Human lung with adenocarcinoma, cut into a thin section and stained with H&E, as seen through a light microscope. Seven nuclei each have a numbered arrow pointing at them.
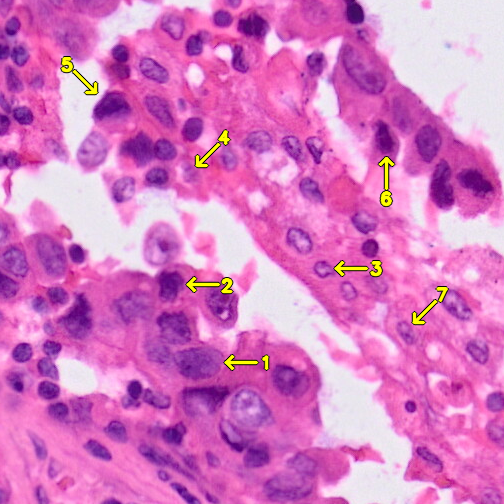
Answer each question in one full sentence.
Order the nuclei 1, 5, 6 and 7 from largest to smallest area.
Going from the biggest nucleus down to the smallest gives 1, 5, 6, 7.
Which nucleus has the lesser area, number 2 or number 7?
Nucleus 7 is the smaller one; nucleus 2 covers about 2 times its area.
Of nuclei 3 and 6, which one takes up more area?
Of the two, number 6 is bigger and takes up about 2 times the area of number 3.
